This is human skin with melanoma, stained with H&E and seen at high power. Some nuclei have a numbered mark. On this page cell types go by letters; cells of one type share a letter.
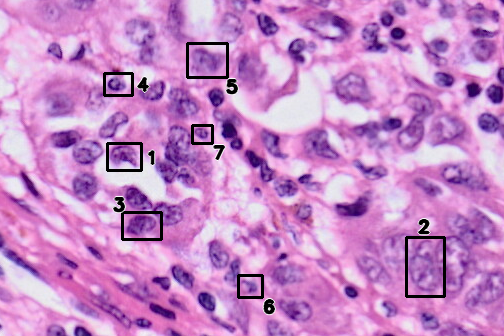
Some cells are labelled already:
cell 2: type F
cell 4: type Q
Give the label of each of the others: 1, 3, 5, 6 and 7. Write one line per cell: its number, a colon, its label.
1: type F
3: type F
5: type F
6: type Q
7: type Q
